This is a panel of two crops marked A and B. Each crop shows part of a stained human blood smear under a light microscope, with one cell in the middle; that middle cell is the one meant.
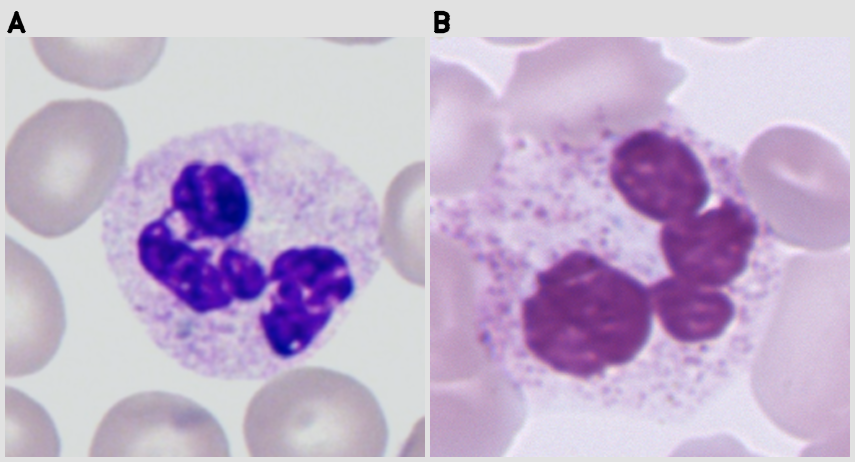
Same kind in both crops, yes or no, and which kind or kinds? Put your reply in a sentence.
Yes, the two cells in the two crops are segmented neutrophils.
